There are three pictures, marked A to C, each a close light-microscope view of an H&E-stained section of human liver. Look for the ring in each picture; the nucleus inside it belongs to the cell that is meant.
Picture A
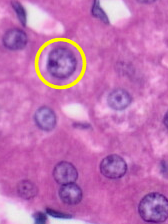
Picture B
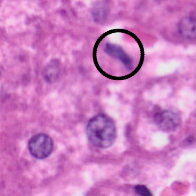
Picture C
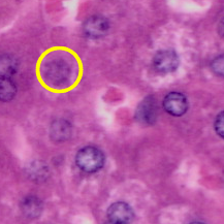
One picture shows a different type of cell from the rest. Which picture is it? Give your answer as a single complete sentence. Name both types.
Picture B differs, because its cell is a Kupffer cell and the rest are hepatocytes.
